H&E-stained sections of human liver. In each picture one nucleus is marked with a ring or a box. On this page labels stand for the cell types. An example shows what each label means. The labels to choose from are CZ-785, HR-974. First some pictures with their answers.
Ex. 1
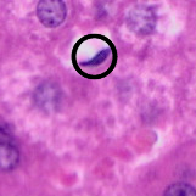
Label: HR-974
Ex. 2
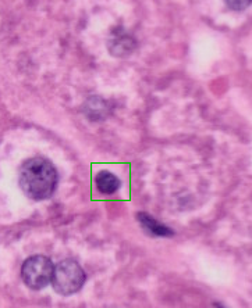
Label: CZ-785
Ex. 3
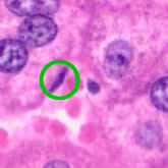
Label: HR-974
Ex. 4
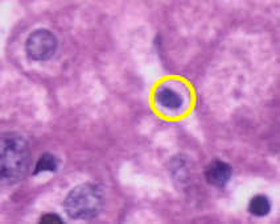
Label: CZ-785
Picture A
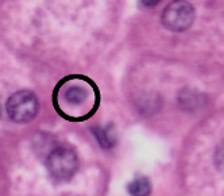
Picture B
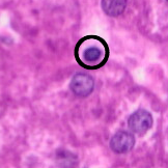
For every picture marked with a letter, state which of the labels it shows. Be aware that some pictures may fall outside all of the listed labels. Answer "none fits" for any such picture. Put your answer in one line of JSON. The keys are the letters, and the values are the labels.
{"A": "CZ-785", "B": "CZ-785"}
